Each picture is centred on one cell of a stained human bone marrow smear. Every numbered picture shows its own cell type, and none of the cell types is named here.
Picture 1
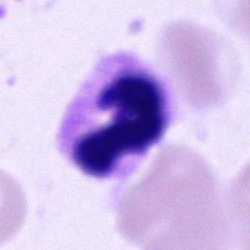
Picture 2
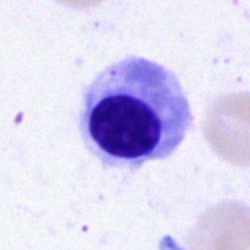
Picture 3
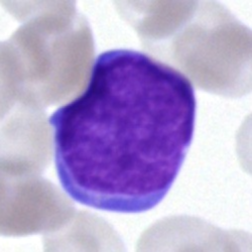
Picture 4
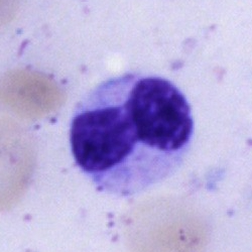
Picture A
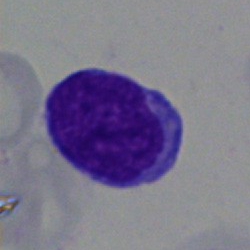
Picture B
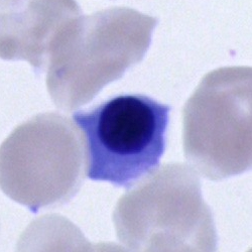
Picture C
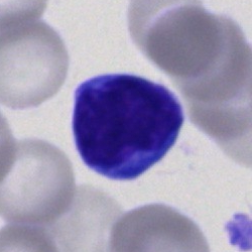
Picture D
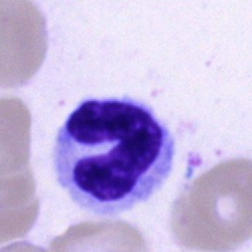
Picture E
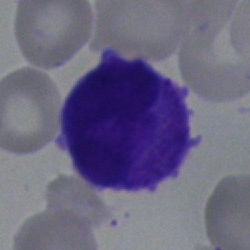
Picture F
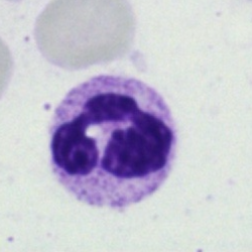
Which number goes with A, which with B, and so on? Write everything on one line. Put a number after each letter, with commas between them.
A 3, B 2, C 3, D 4, E 3, F 1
